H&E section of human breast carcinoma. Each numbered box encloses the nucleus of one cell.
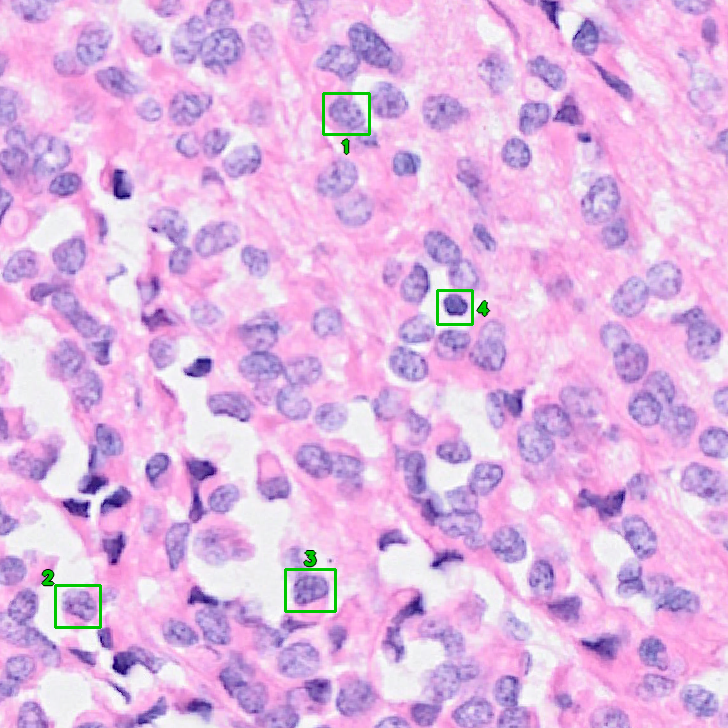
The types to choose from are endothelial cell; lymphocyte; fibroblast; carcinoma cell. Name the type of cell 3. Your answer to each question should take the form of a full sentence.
Recognised here as a carcinoma cell is the cell numbered 3.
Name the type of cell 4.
Among the marked cells, number 4 is a lymphocyte.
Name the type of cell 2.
Identified by the number 2, the cell is a carcinoma cell.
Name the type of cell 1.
Cell 1 is classified as a carcinoma cell.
